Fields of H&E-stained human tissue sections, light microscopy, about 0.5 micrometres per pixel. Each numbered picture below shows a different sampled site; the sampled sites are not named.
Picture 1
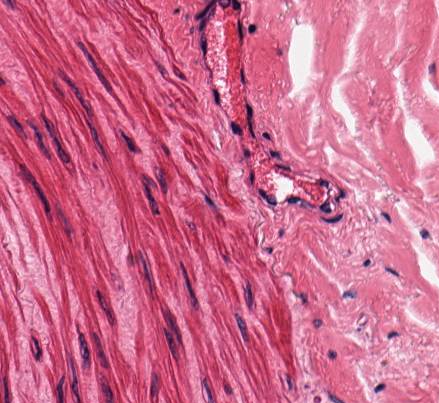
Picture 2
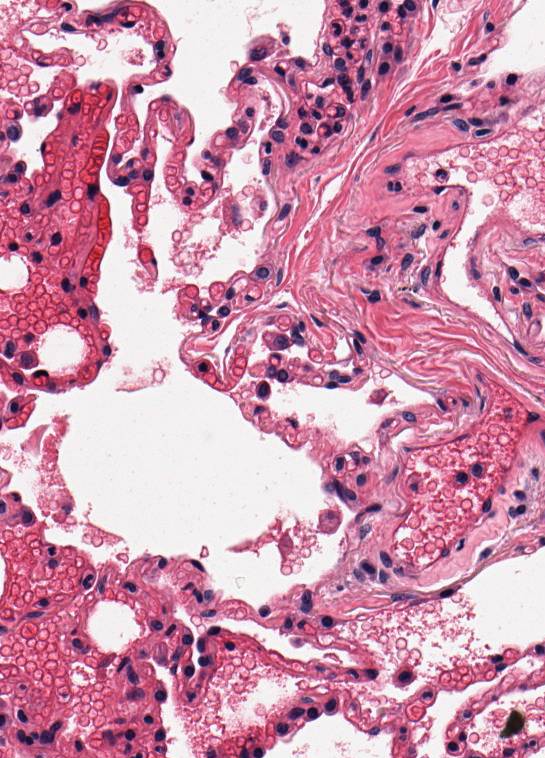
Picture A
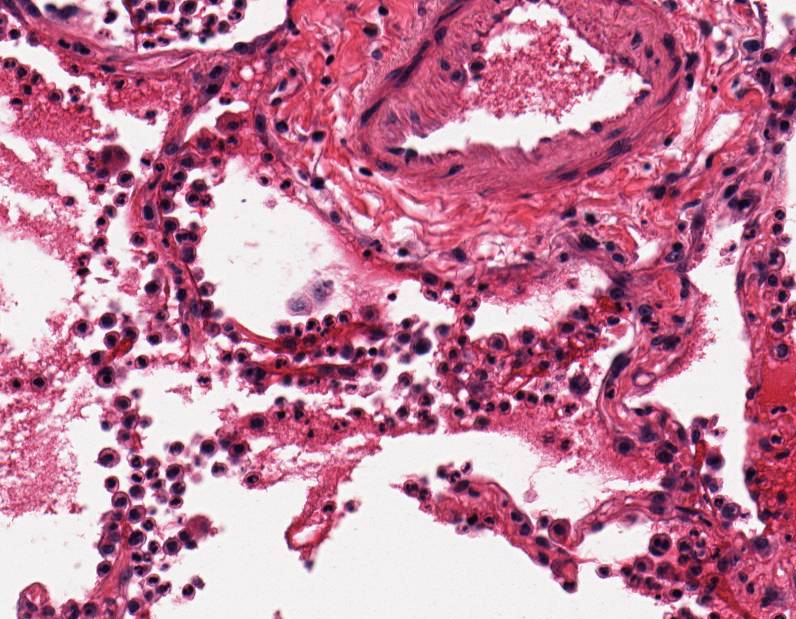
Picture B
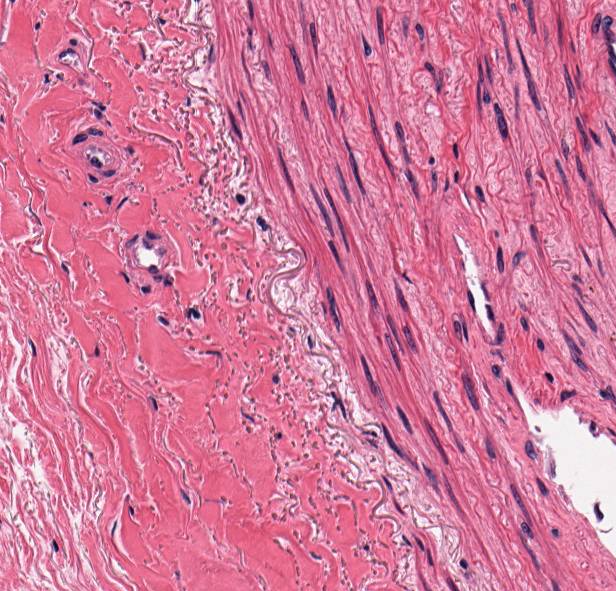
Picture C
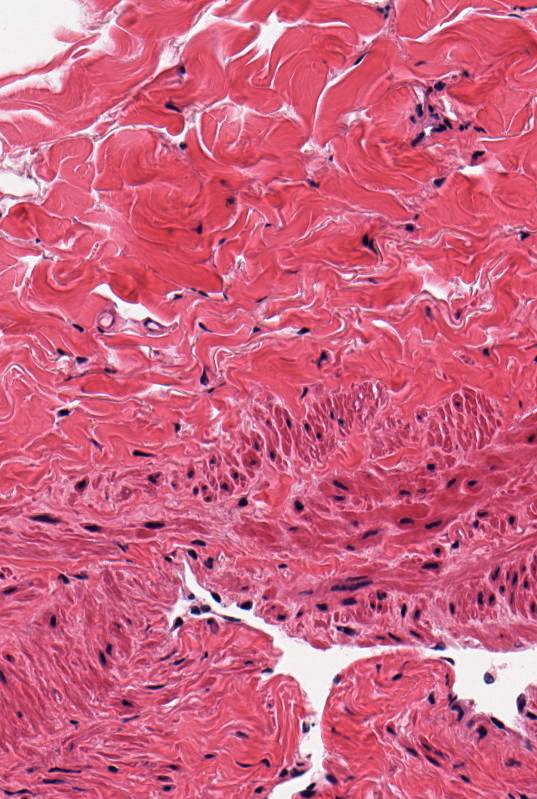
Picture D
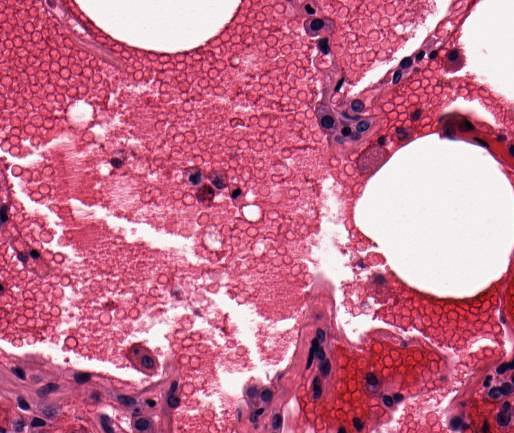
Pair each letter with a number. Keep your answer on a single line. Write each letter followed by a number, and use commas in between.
A 2, B 1, C 1, D 2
